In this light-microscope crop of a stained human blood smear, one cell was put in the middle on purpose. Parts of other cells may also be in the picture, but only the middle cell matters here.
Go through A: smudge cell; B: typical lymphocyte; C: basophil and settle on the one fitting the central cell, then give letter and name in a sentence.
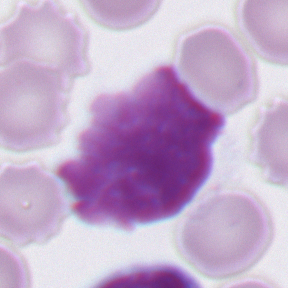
Option A is the right one, for the cell in the middle is a smudge cell.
